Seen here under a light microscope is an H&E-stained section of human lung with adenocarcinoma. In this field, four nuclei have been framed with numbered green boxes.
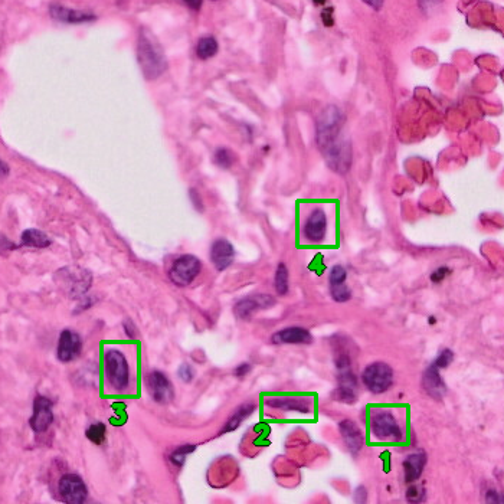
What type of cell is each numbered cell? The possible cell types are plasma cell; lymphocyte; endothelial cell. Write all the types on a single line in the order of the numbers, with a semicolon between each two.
plasma cell; endothelial cell; plasma cell; lymphocyte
